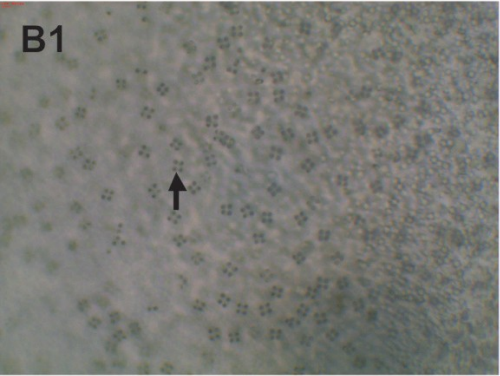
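This is the surface of a mushroom gill seen from above, packed with the rounded ends of basidia. Scattered over it are many small dark dots grouped in fours, tetrads of spores sitting on top of the basidia, more crowded towards the right where the field goes out of focus.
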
